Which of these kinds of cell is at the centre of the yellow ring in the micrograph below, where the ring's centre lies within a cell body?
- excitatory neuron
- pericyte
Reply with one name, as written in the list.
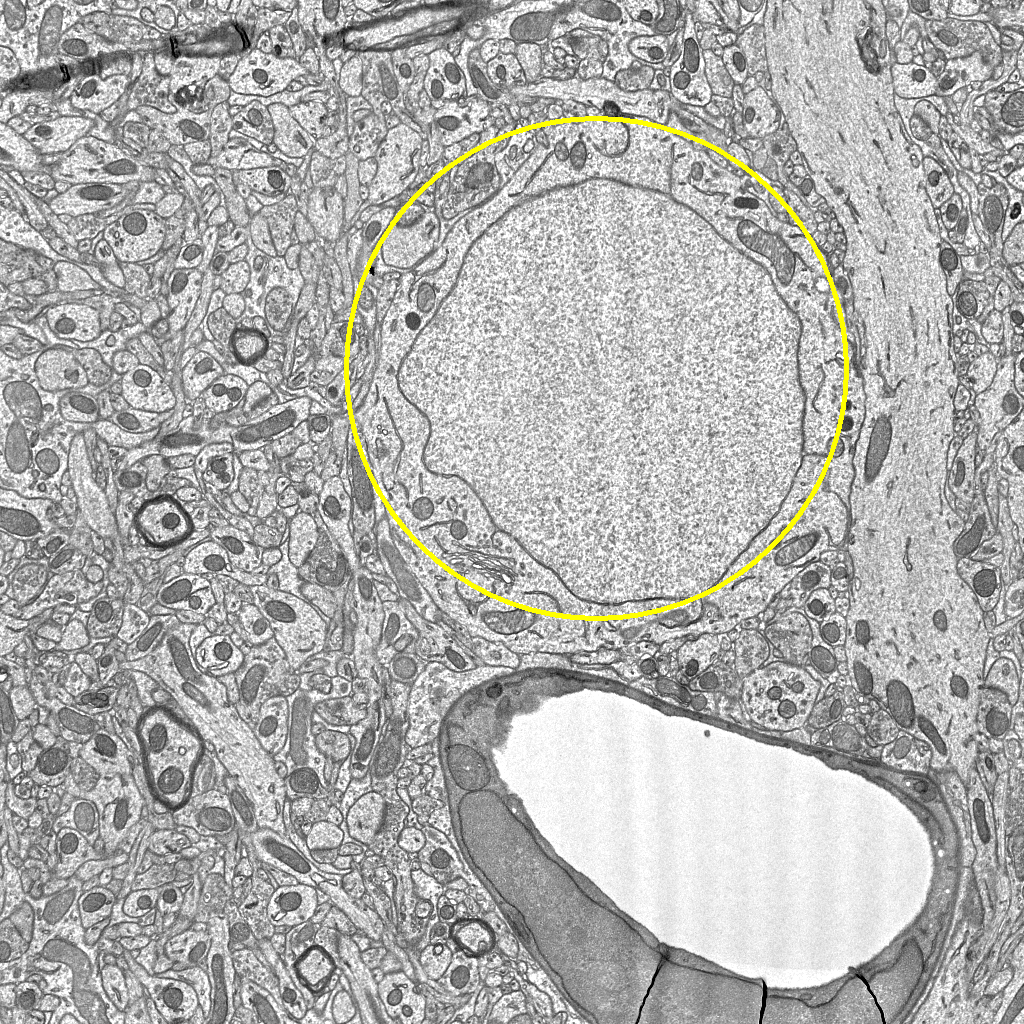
excitatory neuron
